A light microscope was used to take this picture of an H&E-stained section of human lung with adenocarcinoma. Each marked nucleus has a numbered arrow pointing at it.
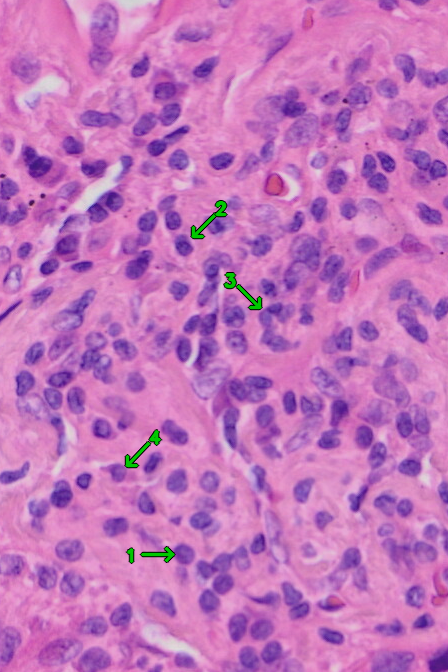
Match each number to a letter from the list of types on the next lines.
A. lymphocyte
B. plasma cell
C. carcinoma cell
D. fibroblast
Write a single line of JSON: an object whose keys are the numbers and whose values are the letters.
{"1": "A", "2": "A", "3": "A", "4": "B"}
